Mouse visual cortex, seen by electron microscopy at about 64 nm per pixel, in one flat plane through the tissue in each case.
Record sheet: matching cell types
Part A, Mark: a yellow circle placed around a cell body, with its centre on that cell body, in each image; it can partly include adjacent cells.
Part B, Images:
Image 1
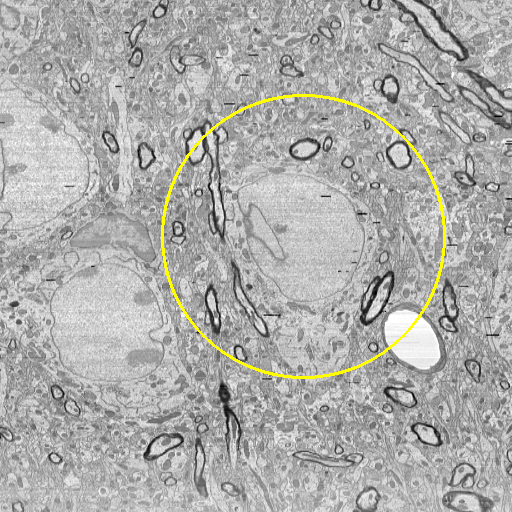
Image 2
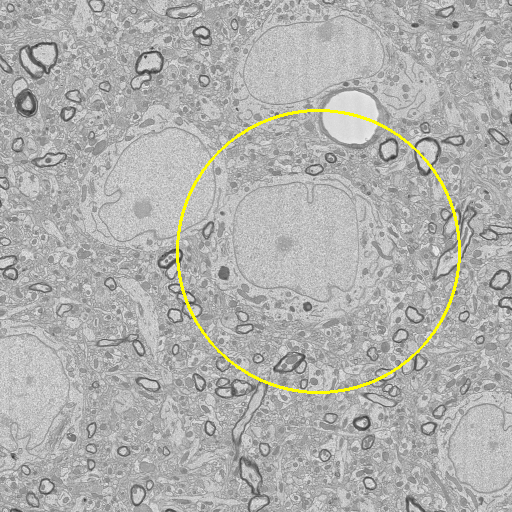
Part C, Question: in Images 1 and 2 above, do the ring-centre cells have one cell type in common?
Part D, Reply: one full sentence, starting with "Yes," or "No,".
Yes, the ring-centre cells of Image 1 and Image 2 are both of a single cell type.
